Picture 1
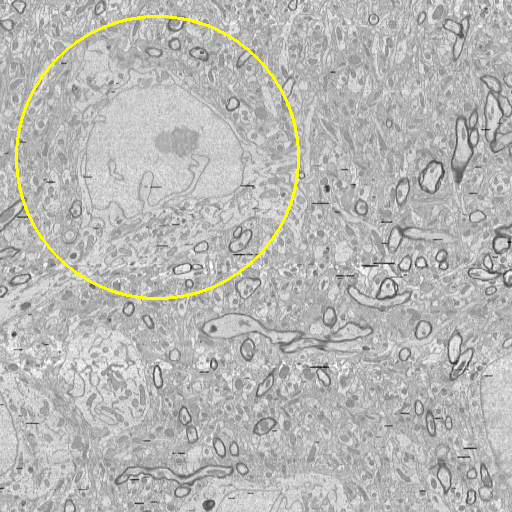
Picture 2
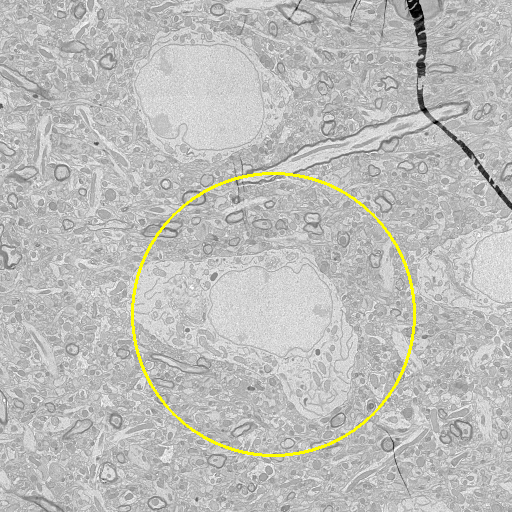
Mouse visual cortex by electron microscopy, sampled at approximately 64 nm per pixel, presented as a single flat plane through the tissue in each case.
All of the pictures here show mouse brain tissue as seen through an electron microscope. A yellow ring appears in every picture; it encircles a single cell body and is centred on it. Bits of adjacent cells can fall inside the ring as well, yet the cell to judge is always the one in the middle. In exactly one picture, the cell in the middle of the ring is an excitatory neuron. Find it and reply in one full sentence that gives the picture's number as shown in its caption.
Of all the pictures, picture 2 has the right cell at the centre of its ring.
